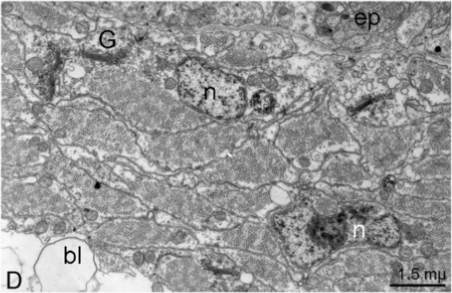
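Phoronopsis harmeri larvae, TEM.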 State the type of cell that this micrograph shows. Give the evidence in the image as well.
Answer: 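Elongated cells with cytoplasm filled by fine filament bundles. Oval nuclei lie among the filament-filled cells.
Hence: muscle cells.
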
